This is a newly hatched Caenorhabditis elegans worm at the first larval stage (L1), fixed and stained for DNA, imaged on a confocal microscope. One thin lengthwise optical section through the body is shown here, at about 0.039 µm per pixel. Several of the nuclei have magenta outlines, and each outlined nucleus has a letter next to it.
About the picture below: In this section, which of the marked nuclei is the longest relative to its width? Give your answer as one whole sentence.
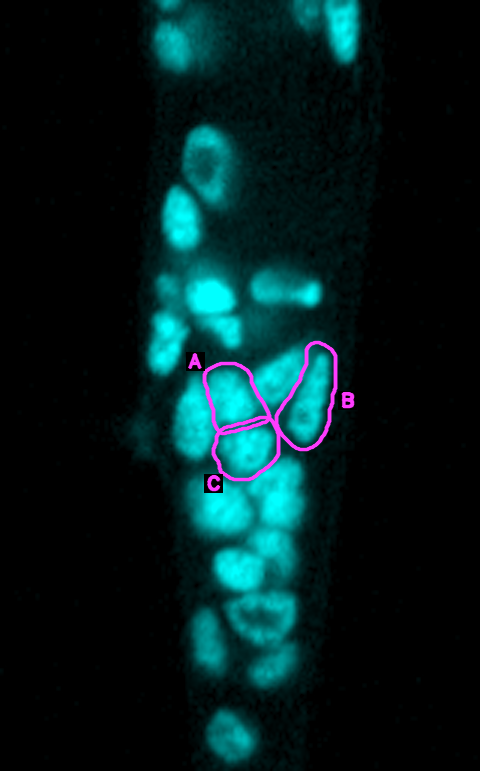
Of the marked nuclei, B is the most stretched out.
